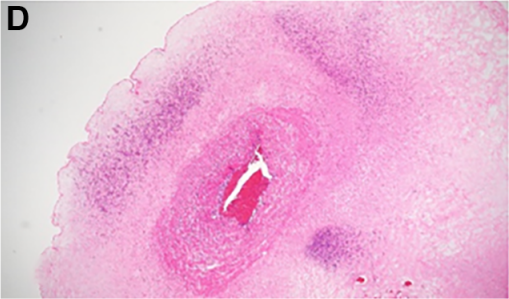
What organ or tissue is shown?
Umbilical cord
